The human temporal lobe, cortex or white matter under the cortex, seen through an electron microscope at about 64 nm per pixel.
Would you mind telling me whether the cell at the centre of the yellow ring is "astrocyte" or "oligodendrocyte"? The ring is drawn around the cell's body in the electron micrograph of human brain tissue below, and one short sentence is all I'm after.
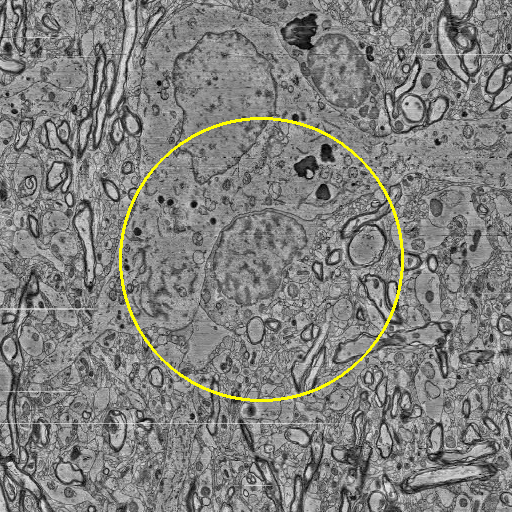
In the centre of the ring lies an oligodendrocyte.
